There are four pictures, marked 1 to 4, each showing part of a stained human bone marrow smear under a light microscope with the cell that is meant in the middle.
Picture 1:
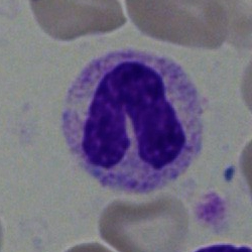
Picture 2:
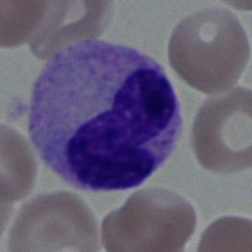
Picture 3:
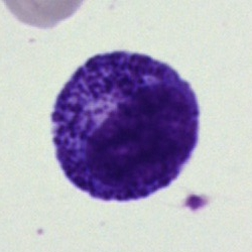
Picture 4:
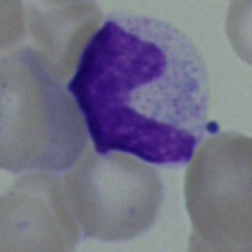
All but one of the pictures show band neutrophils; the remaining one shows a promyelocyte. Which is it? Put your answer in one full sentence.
The promyelocyte is the one in picture 3.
